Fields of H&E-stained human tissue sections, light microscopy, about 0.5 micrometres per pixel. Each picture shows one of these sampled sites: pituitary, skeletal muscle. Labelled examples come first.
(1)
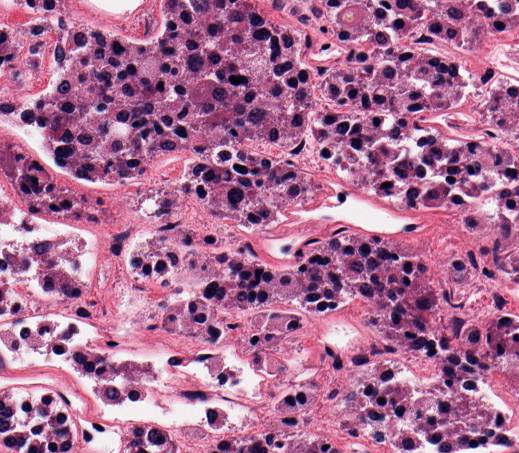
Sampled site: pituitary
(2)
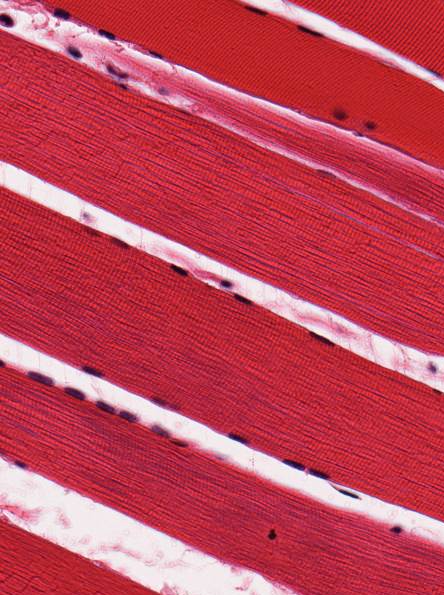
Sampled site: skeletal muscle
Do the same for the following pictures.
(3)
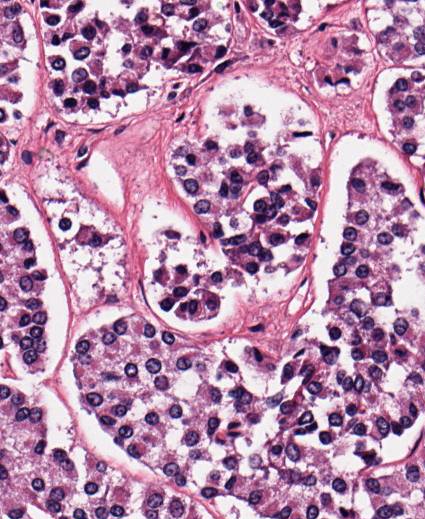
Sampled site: pituitary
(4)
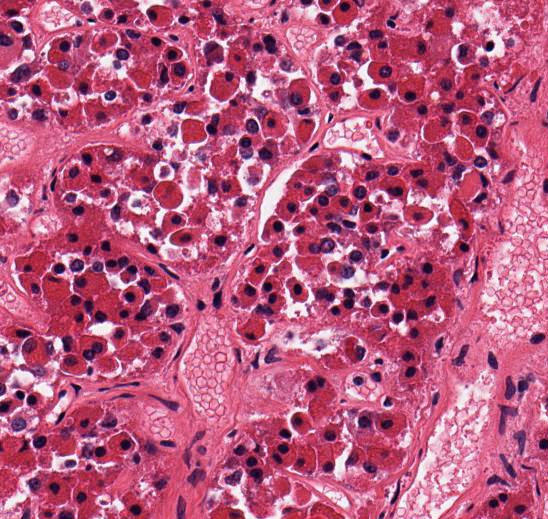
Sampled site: pituitary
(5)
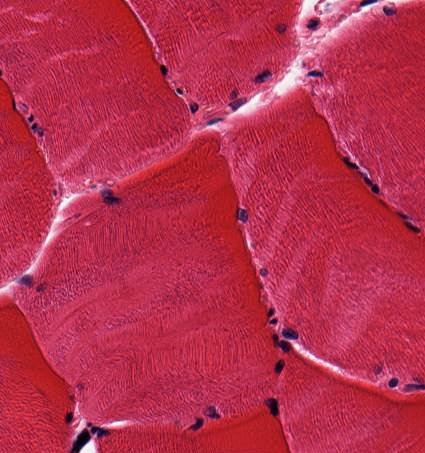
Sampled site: skeletal muscle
